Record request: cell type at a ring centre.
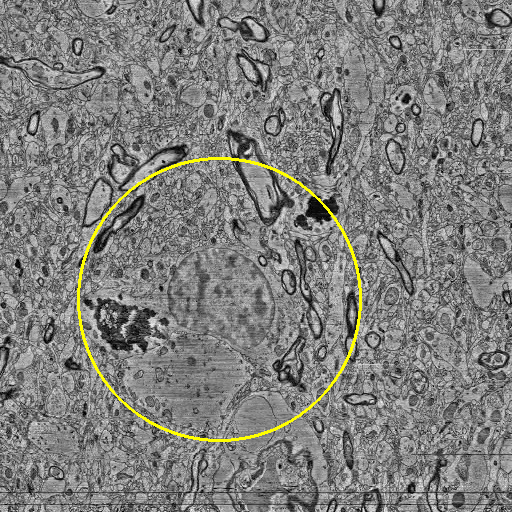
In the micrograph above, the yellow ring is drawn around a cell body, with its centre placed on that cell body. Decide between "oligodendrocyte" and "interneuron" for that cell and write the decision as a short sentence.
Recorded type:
The cell centred in the yellow ring is an oligodendrocyte.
